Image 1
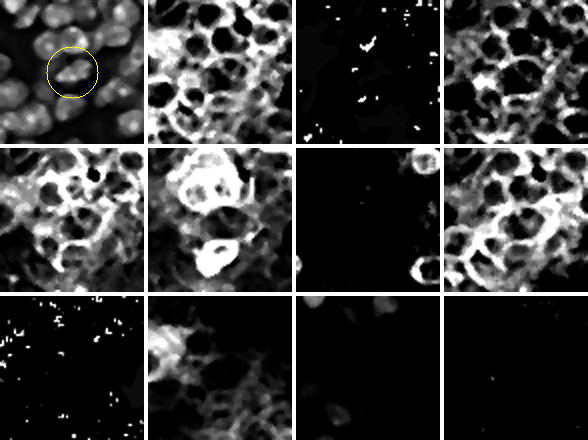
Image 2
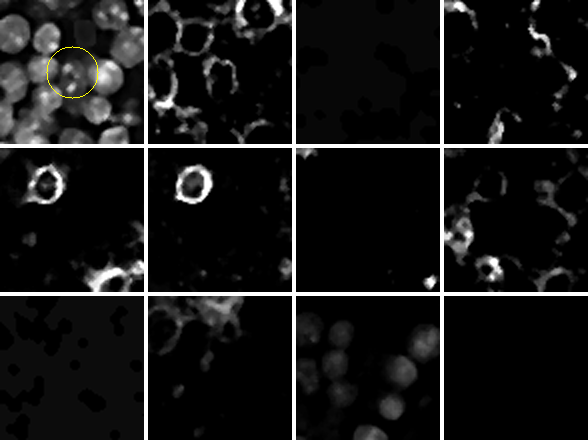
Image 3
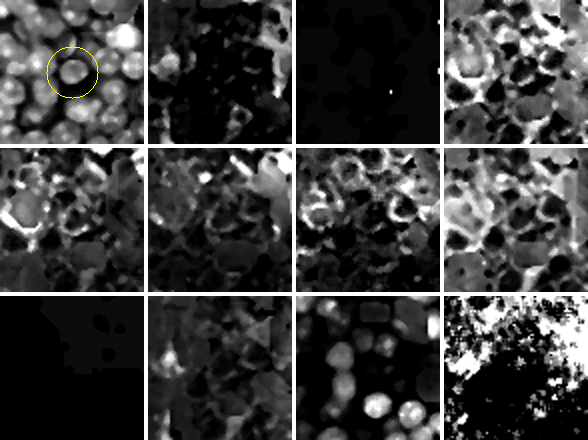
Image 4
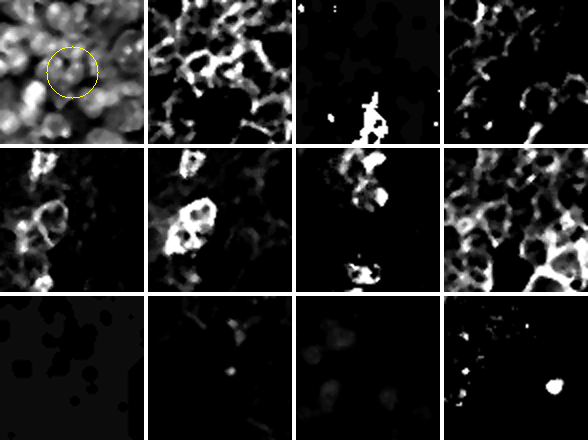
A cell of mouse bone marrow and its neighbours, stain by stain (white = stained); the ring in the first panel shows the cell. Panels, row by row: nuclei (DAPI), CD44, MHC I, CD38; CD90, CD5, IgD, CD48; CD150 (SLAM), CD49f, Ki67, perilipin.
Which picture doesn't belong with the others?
Picture 3.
